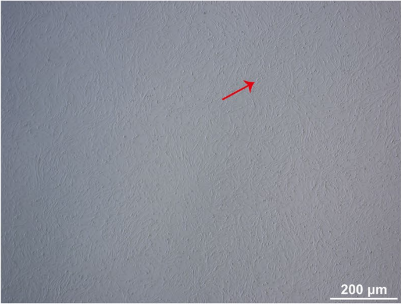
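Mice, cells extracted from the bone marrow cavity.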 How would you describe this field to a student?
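A dense, nearly confluent layer of elongated, spindle-shaped cells covers the whole field. The cells lie side by side in loosely parallel, swirling streams, with no stain and little internal detail visible at this magnification.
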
